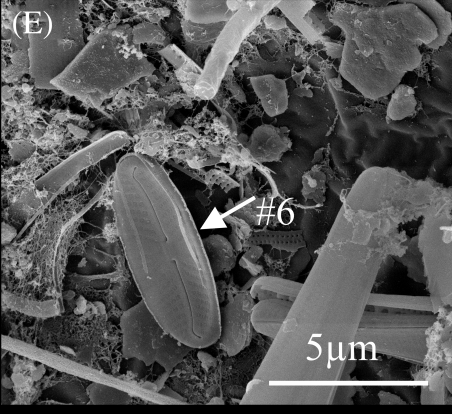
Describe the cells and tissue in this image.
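A single raphid pennate diatom lies among debris and rod-shaped fragments in a biofilm. Its valve is oval and elongated with a narrow slit running along the midline, broken near the centre, and a smooth rounded margin.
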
